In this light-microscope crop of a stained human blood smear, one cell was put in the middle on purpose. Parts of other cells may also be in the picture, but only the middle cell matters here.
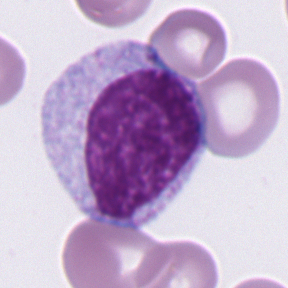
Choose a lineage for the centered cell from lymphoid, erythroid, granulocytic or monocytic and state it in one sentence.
The correct lineage for the cell at the center is the granulocytic one.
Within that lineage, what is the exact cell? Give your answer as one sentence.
The cell at the central position in this crop is a myelocyte.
